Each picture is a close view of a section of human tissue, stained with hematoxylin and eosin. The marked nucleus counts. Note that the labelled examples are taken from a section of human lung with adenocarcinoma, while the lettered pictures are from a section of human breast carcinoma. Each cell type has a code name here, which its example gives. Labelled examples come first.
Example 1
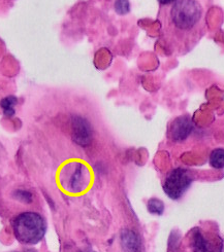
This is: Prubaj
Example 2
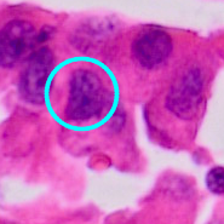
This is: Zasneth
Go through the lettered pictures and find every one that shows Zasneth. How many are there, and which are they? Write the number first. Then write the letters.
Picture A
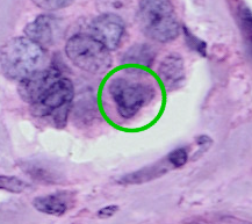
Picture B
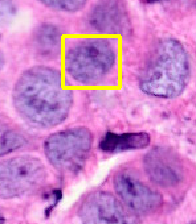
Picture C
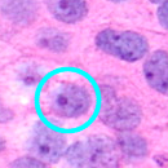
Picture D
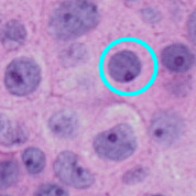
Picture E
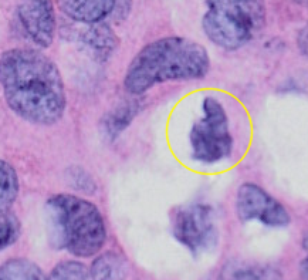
5: A, B, C, D, E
